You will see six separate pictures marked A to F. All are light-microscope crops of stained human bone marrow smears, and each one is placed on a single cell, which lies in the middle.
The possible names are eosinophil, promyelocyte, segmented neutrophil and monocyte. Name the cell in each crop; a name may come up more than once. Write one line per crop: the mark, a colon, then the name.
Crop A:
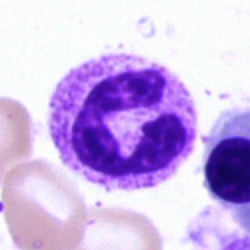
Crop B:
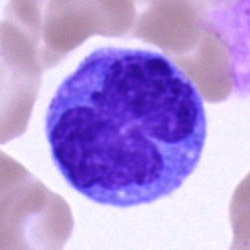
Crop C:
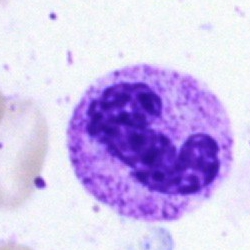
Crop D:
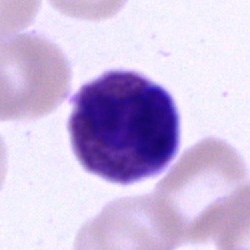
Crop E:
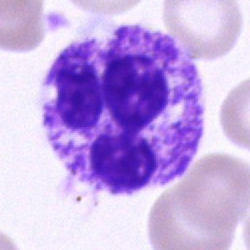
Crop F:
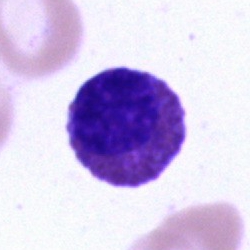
A: segmented neutrophil
B: monocyte
C: segmented neutrophil
D: eosinophil
E: segmented neutrophil
F: eosinophil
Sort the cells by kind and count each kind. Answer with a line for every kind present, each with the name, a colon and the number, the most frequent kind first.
segmented neutrophil: 3
eosinophil: 2
monocyte: 1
